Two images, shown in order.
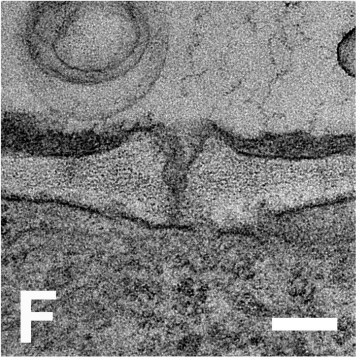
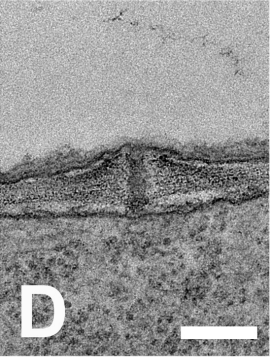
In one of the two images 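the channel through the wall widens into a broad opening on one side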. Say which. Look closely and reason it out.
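First image: the channel is broad at the upper face of the wall and narrows downward. Second image: the channel is narrow and of even width across the wall. On this evidence: the first image.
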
